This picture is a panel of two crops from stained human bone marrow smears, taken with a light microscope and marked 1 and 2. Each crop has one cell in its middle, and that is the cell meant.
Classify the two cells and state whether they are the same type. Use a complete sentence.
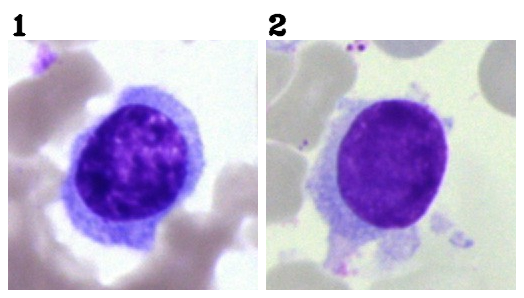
Yes, both crops show hairy cells as the central cells.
